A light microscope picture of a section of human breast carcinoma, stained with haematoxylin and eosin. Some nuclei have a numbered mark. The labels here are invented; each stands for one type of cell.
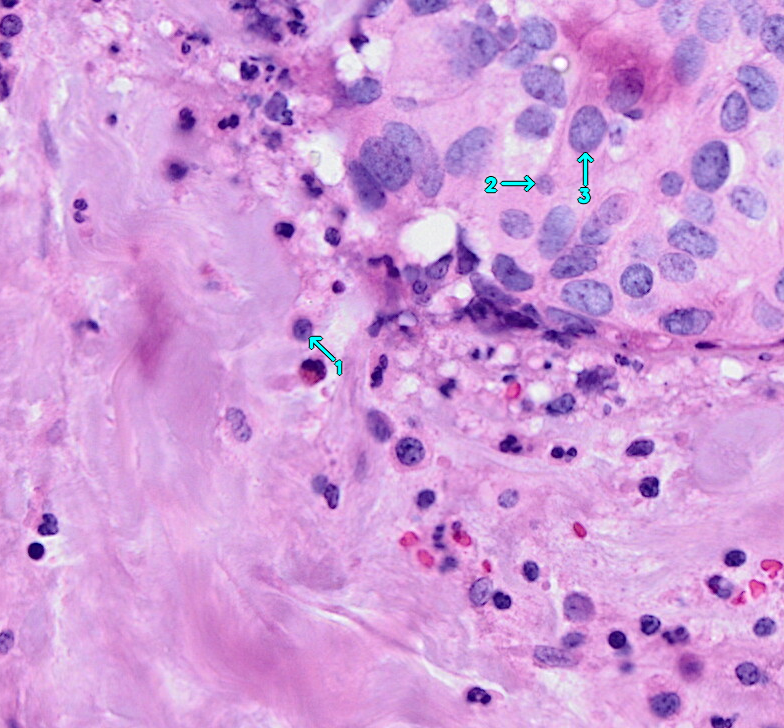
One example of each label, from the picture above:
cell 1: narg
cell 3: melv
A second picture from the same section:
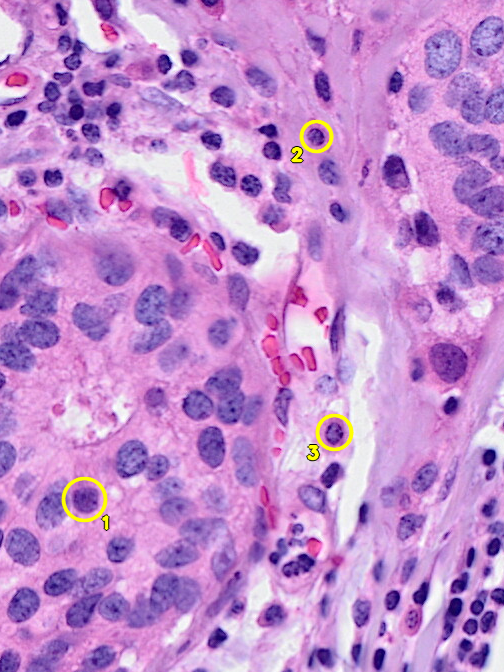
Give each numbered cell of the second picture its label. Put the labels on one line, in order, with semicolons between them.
melv; narg; narg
